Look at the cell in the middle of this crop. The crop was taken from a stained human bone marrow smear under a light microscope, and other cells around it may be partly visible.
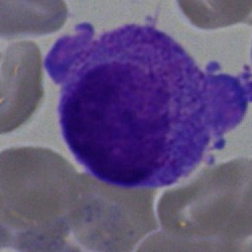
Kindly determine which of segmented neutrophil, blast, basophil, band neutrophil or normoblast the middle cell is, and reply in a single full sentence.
The middle cell in this particular crop is a blast.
